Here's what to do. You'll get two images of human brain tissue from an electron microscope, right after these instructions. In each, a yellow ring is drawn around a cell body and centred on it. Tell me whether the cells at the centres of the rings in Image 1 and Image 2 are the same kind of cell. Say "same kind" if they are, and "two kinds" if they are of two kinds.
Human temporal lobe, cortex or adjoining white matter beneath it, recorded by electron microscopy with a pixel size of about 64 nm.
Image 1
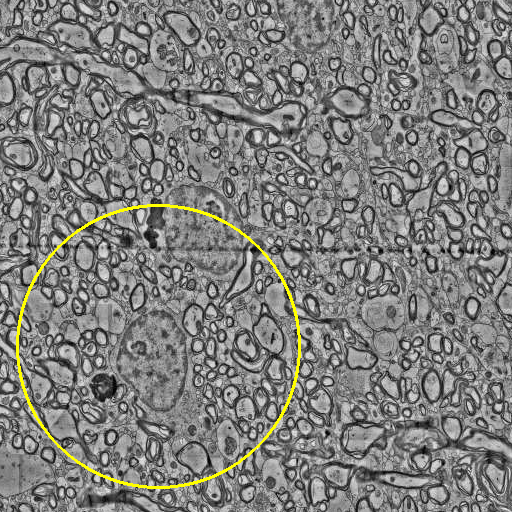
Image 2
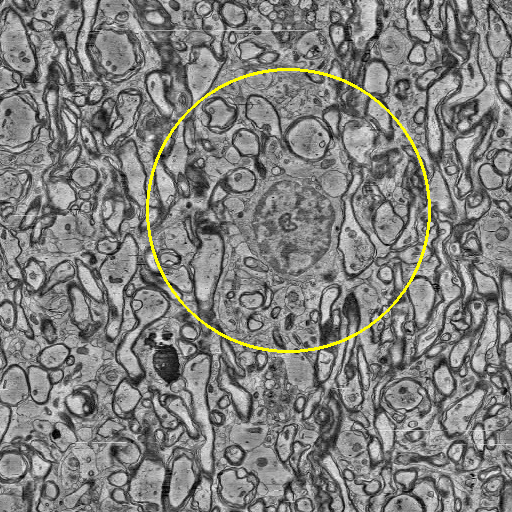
same kind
